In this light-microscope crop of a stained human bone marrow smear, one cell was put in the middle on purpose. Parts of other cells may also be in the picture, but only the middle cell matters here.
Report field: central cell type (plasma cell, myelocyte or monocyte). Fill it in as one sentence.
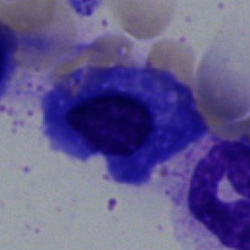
Centrally within this crop lies a plasma cell.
